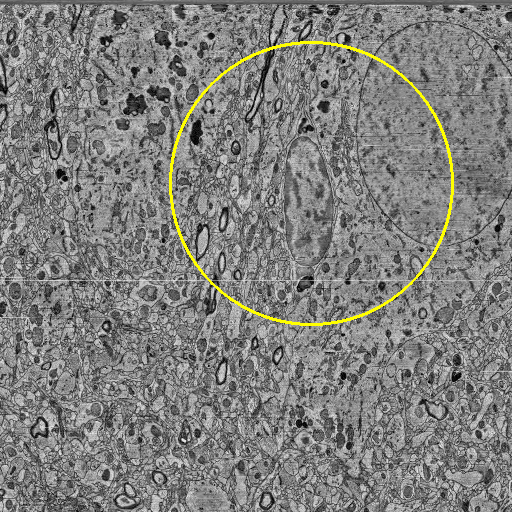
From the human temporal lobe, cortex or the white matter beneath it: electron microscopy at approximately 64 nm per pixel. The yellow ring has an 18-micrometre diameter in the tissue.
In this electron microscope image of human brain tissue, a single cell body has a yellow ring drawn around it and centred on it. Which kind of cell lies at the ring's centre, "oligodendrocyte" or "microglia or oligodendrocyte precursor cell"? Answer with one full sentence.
It is a microglial cell or oligodendrocyte precursor cell whose cell body lies at the centre of the yellow ring here.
